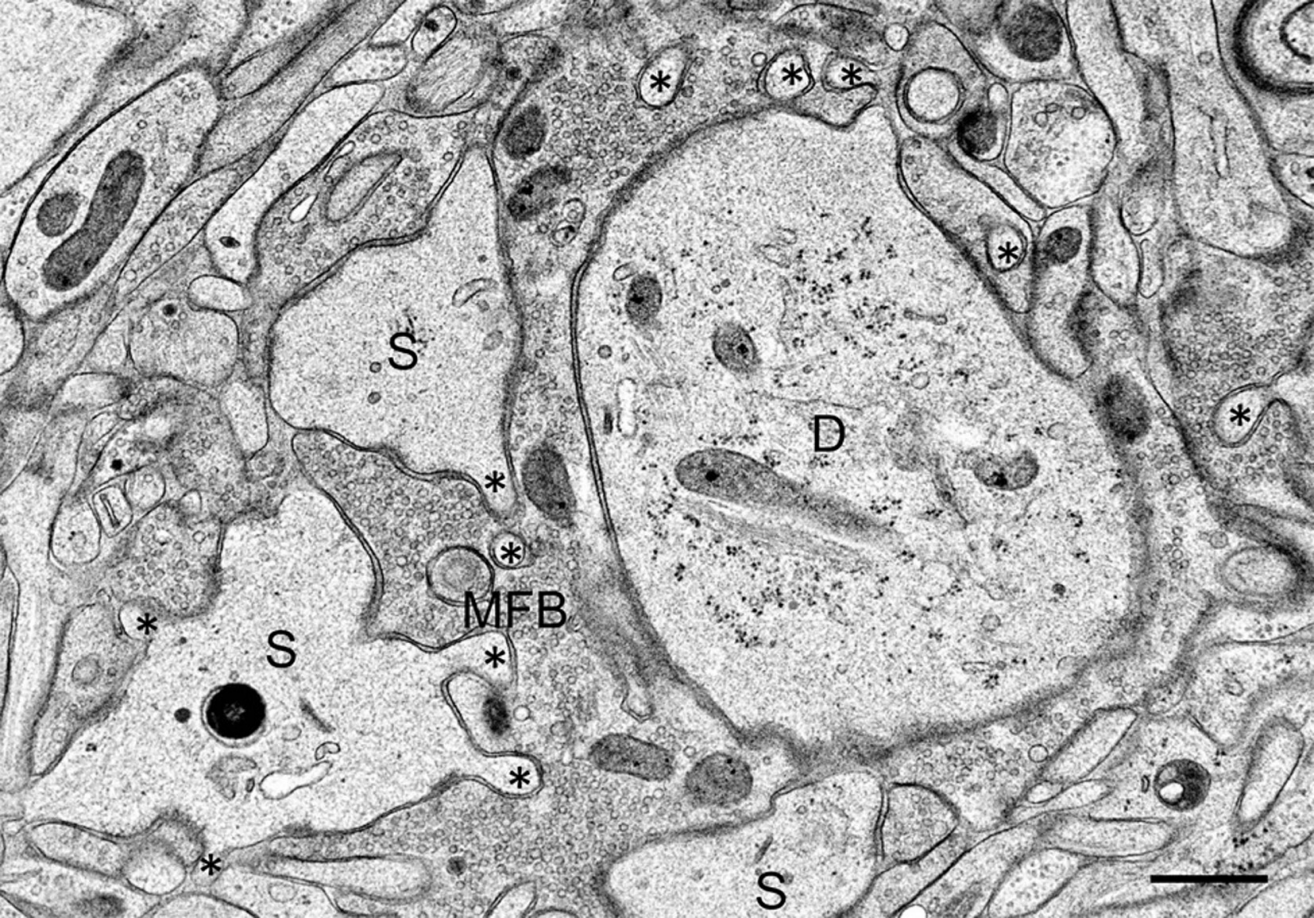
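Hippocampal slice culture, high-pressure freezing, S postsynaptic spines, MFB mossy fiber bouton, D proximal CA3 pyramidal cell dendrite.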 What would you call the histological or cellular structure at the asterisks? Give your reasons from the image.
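Small round or finger-like pale profiles marked by asterisks, each bounded by a membrane. Several of the marked profiles lie at the edges of the large pale spine profiles and push into the vesicle-filled bouton. Their pale content matches the pale content of the spines rather than the vesicle-packed bouton. That points to this answer: finger-shaped small extensions.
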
